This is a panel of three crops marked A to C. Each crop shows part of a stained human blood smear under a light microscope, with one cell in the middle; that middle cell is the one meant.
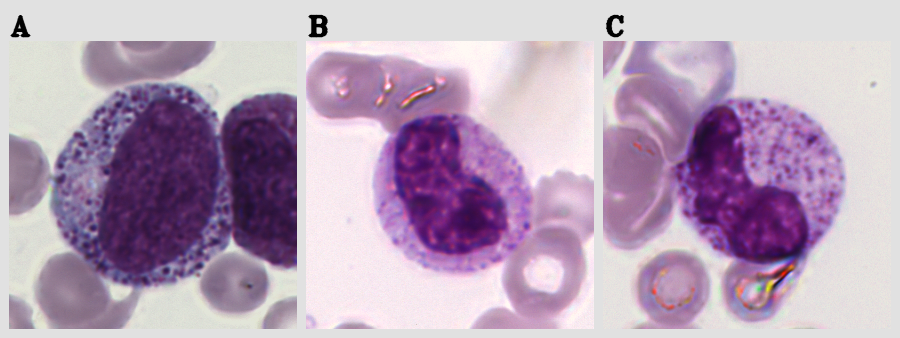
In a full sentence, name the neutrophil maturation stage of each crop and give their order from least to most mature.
From the least mature to the most mature, the sequence runs crop A (a promyelocyte), crop B (a metamyelocyte) and crop C (a band neutrophil).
